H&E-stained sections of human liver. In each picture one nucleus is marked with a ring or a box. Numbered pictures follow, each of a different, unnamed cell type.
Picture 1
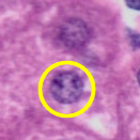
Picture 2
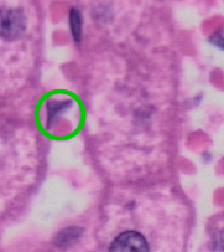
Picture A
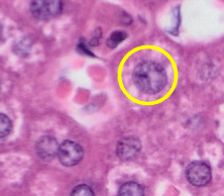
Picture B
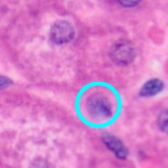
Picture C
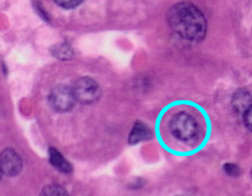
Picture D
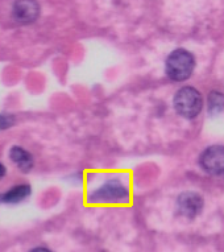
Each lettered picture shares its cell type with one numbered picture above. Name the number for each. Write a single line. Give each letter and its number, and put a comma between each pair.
A 1, B 2, C 1, D 2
